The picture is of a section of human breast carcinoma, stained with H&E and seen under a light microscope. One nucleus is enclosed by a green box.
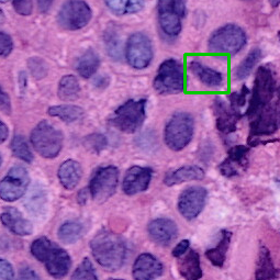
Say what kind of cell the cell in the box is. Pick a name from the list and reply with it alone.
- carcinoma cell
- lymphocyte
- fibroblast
carcinoma cell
